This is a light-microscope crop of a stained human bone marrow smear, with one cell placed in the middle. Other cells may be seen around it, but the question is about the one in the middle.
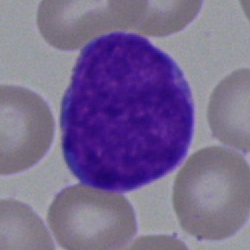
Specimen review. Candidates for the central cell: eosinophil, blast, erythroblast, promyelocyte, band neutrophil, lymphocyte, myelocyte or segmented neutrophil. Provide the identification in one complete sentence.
For this crop, the cell in the middle is a blast.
